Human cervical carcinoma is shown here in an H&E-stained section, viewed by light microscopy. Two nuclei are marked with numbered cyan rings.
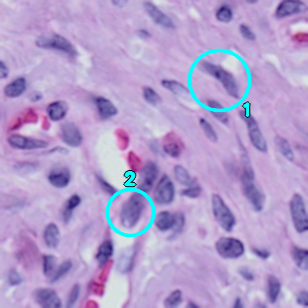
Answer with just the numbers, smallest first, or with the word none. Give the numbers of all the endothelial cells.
2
